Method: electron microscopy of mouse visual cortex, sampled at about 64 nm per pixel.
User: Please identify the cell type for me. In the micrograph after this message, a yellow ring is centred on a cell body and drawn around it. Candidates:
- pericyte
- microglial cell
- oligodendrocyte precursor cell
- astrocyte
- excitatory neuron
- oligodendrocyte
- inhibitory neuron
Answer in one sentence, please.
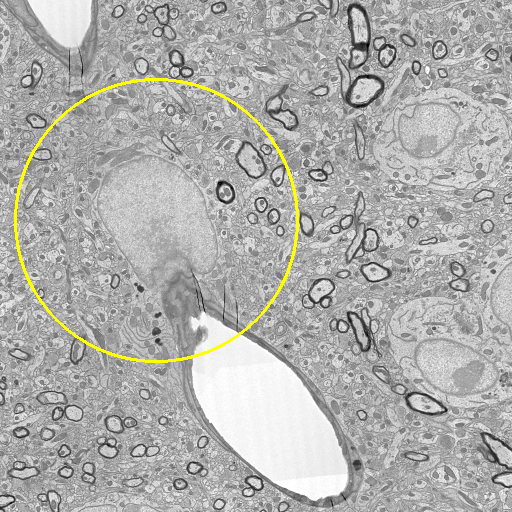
The ring is drawn around the cell body of an astrocyte.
